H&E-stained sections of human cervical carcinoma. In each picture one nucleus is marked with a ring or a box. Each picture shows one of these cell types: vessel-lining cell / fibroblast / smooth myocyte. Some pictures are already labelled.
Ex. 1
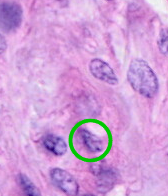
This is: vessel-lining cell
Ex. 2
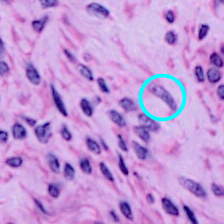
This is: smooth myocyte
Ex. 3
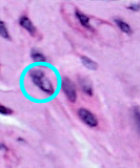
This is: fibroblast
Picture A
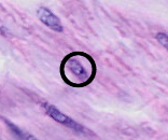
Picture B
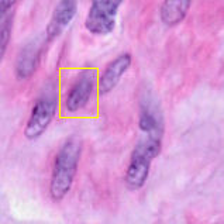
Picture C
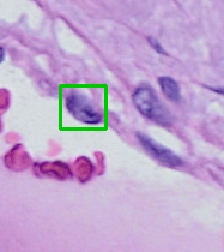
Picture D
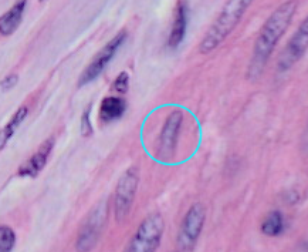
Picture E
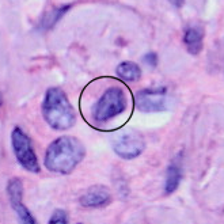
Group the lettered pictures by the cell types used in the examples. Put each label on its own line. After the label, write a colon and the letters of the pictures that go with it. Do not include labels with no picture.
vessel-lining cell: C, E
smooth myocyte: A, B, D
